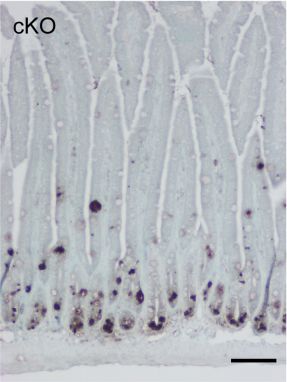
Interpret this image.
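Unlike a normal gut, the brown cells are not kept in a tidy row at the crypt base. Clusters still lie near the bottom, but many stained cells are scattered higher up, in the upper crypts and along the lower parts of the villi, some singly as round brown bodies within the epithelium. The overall pattern looks irregular and spread out, pointing to Paneth cells that have wandered from their usual place at the crypt bottom.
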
